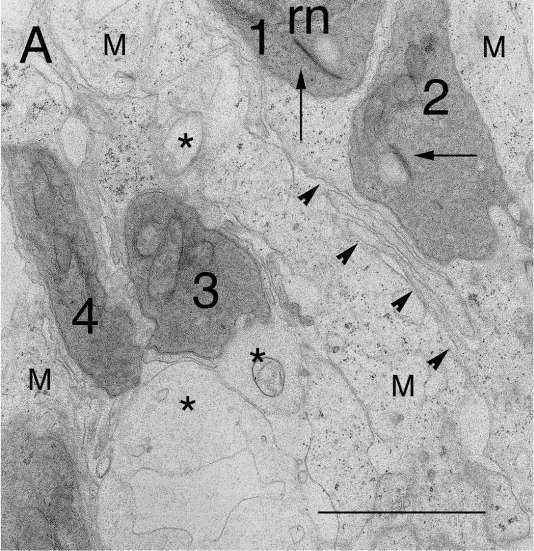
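This electron micrograph shows several dark, electron-dense photoreceptor synaptic terminals lying among paler glial and neuronal processes. Swollen, very pale processes with few granules lie beside the terminals.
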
